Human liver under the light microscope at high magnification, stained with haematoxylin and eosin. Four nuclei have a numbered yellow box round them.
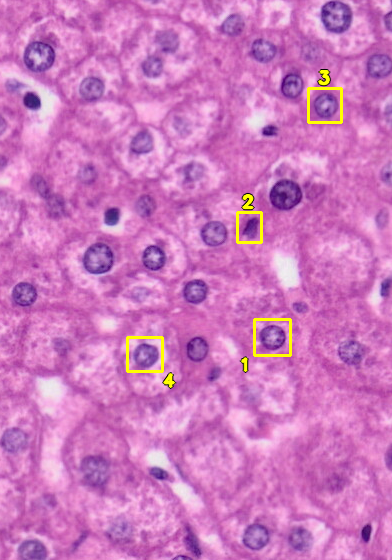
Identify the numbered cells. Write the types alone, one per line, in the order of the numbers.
hepatocyte
fibroblast or stellate cell
hepatocyte
hepatocyte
